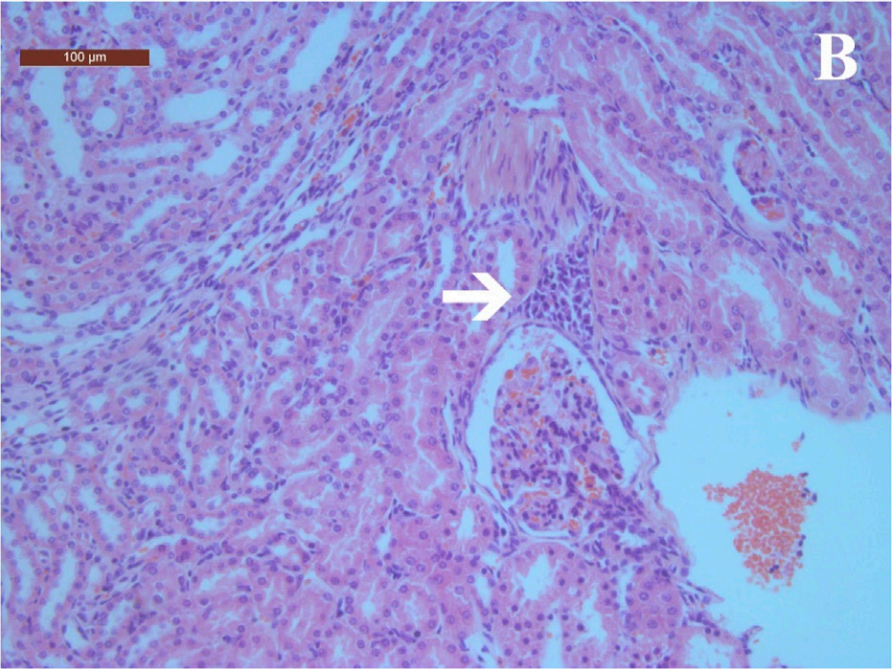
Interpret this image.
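Kidney tissue with closely packed tubules cut in various planes. The tubules are lined by cuboidal epithelial cells with pink cytoplasm and round nuclei around open lumens. In the interstitium between tubules, near the centre, lies a dense cluster of small, dark nuclei of infiltrating cells. Just below it is a rounded structure enclosed by a thin capsule and containing red blood cells and nuclei. A large clear space holding a clump of red blood cells lies at lower right, and scattered red blood cells lie between the tubules.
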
